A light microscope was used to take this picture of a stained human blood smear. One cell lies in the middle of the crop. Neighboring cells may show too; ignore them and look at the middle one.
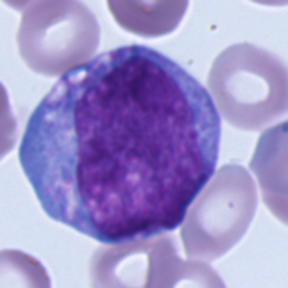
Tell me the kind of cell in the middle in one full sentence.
Seen at the centre of the crop is a promyelocyte.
